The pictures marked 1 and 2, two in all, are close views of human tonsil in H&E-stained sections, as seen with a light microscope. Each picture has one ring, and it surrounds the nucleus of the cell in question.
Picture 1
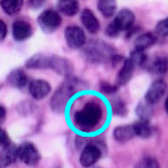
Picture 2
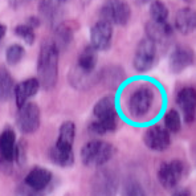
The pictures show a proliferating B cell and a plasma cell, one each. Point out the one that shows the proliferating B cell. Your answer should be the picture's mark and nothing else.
1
